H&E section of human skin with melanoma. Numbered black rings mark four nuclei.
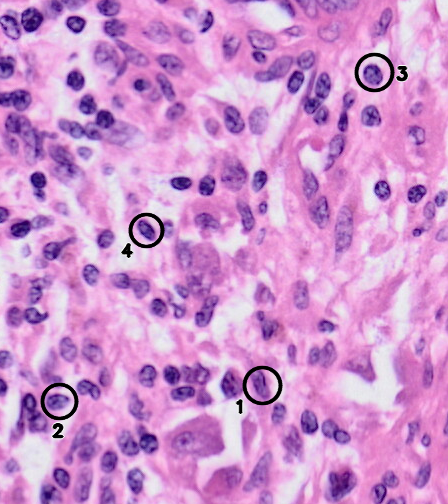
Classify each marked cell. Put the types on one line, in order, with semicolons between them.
macrophage or monocyte; lymphocyte; lymphocyte; lymphocyte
